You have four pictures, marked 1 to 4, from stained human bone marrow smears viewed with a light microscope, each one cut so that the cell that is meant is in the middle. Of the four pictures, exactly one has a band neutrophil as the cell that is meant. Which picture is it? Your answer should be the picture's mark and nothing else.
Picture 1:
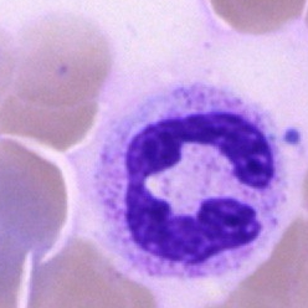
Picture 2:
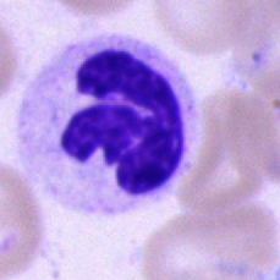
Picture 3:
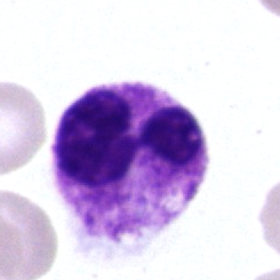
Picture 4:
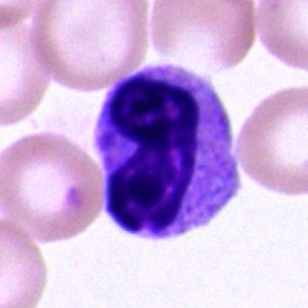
4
